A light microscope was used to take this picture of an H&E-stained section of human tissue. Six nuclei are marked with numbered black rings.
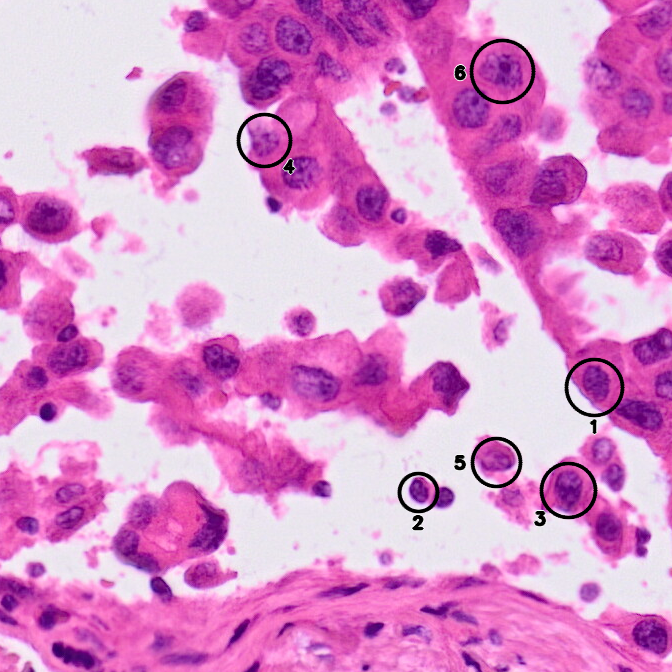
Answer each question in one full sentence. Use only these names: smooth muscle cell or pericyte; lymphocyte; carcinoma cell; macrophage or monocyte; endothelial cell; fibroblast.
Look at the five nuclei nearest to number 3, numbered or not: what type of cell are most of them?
Around number 3, most of the five nearest nuclei are those of macrophages or monocytes.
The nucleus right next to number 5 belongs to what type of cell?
The nearest nucleus to number 5 belongs to a macrophage or monocyte.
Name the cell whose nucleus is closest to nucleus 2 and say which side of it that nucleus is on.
It is a lymphocyte, whose nucleus lies to the right of nucleus 2.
